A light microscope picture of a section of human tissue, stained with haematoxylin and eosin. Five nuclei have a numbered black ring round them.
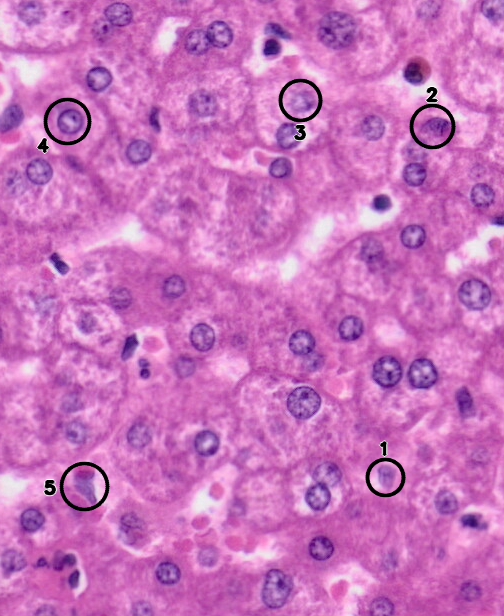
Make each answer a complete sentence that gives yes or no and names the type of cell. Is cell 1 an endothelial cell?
Yes, in this tissue section, number 1 is an endothelial cell.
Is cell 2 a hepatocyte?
No, the cell given number 2 is a Kupffer cell, as opposed to a hepatocyte.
